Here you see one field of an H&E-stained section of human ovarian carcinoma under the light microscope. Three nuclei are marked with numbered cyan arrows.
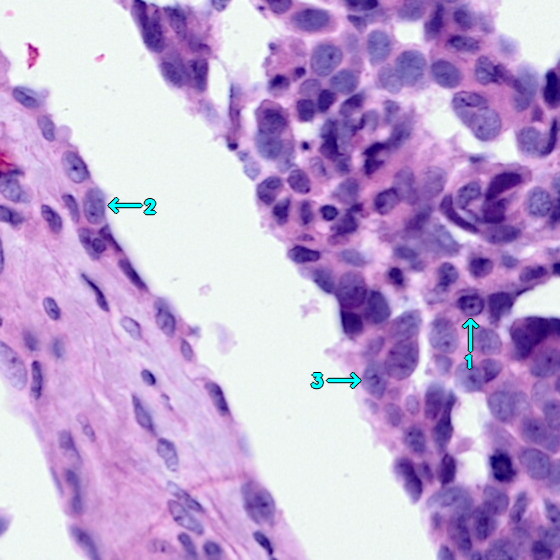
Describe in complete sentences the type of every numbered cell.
Cell 1 is a macrophage or monocyte. Cells 2 and 3 are carcinoma cells.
